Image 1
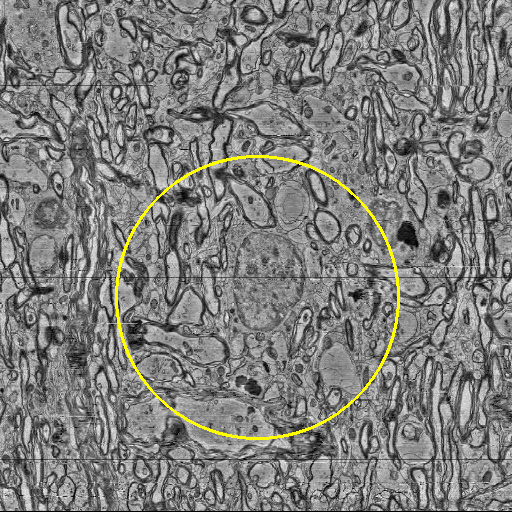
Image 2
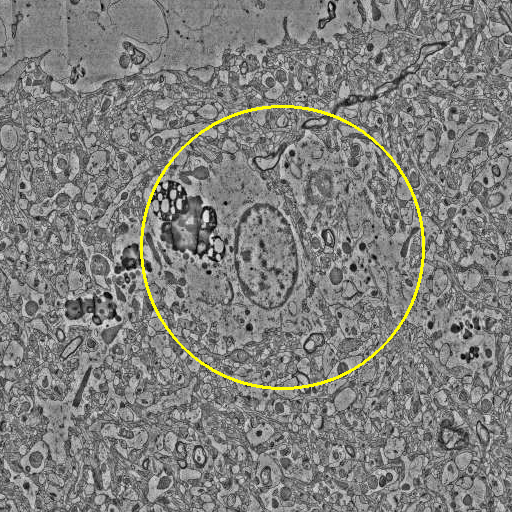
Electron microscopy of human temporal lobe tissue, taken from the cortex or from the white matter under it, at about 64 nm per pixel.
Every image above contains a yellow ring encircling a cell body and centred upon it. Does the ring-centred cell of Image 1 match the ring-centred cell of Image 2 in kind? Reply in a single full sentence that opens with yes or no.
No, the cell at the ring's centre in Image 1 is a separate kind from that in Image 2.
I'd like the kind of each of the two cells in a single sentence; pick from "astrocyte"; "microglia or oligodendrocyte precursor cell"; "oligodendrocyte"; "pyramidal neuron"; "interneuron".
The first ring marks an oligodendrocyte, and the second ring marks an astrocyte.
